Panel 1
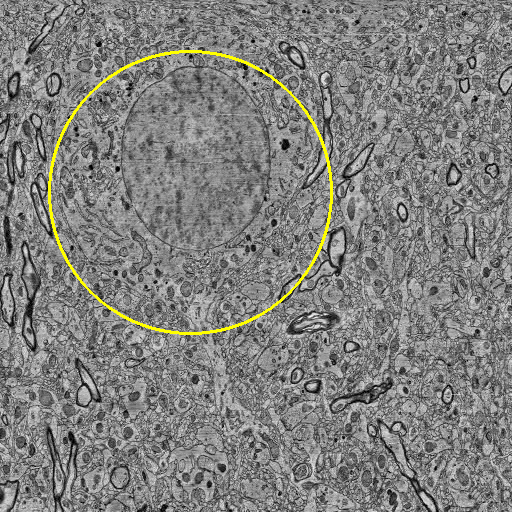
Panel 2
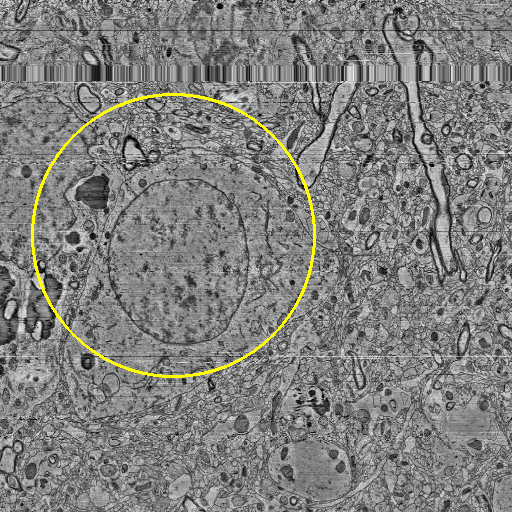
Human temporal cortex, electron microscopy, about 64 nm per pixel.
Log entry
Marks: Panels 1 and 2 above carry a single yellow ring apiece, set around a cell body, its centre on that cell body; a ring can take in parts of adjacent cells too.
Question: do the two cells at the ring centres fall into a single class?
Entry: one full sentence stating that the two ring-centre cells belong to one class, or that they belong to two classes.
The two ring-centre cells in Panels 1 and 2 belong to two classes.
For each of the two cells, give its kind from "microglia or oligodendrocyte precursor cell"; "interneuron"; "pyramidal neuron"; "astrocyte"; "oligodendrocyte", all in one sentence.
The first picture has an interneuron in its ring, the second has a pyramidal neuron.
